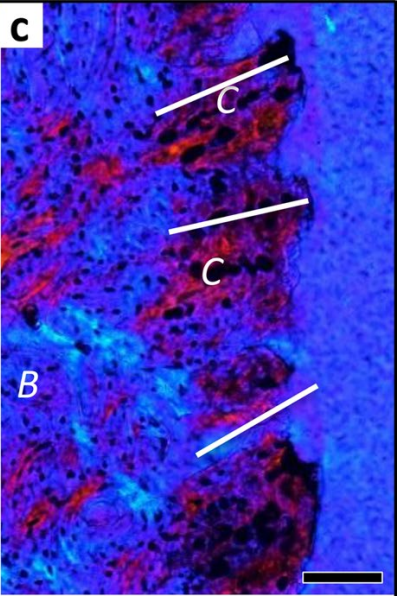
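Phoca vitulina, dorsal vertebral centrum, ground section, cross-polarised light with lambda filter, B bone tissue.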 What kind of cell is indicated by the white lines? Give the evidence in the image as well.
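Rounded dark cells lie in rows along the white lines. The rows run at a slant toward the surface on the right.
Cartilage chondrocytes.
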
